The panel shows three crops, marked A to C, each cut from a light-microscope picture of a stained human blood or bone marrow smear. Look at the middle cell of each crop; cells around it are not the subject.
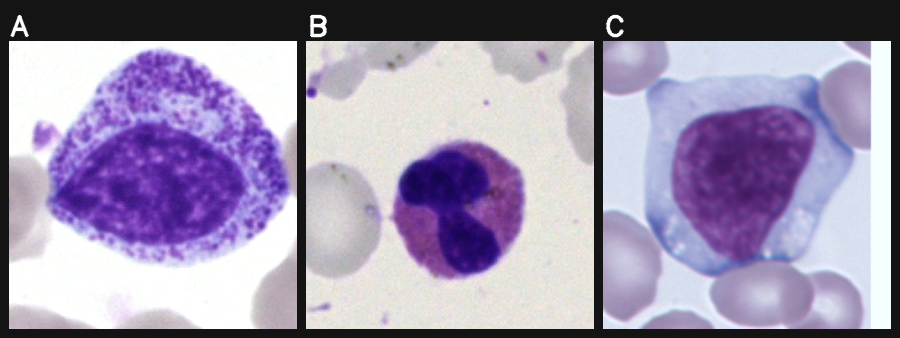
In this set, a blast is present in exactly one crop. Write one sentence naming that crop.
Crop C matches the request, showing a blast.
